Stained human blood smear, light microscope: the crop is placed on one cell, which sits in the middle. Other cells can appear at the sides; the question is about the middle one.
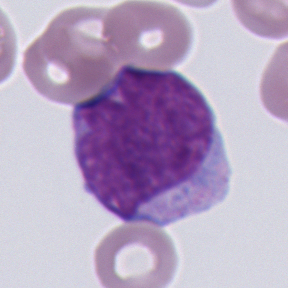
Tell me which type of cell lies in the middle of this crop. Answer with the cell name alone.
atypical promyelocyte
